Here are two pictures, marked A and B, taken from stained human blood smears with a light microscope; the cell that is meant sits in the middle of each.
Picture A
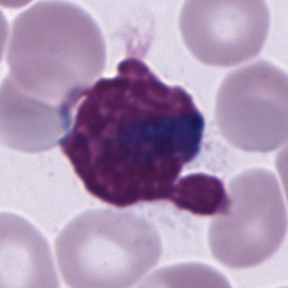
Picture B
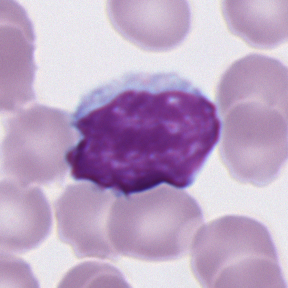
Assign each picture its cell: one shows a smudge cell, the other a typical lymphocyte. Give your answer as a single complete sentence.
Picture A shows a smudge cell and picture B shows a typical lymphocyte.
